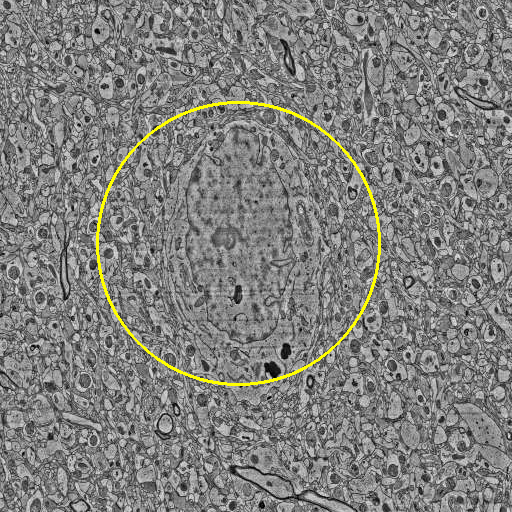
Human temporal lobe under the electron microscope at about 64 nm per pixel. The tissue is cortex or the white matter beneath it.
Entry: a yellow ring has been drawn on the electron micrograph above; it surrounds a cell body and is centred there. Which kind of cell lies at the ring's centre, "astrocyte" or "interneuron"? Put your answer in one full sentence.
The cell sitting at the ring's centre is an interneuron in the micrograph above.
